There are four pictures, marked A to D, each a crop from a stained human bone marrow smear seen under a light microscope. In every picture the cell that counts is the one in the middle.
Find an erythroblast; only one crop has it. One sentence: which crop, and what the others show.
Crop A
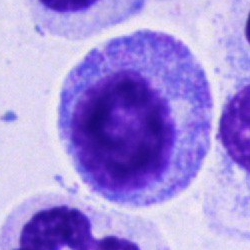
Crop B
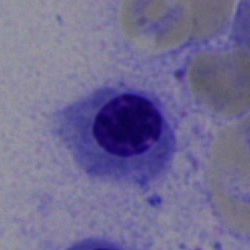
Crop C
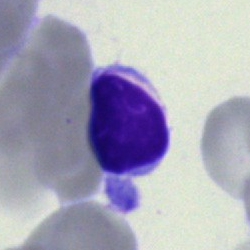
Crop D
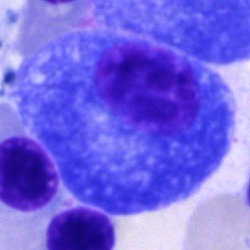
Found in crop B is an erythroblast, whereas crop A is a promyelocyte, crop C is a lymphocyte and crop D is a plasma cell.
